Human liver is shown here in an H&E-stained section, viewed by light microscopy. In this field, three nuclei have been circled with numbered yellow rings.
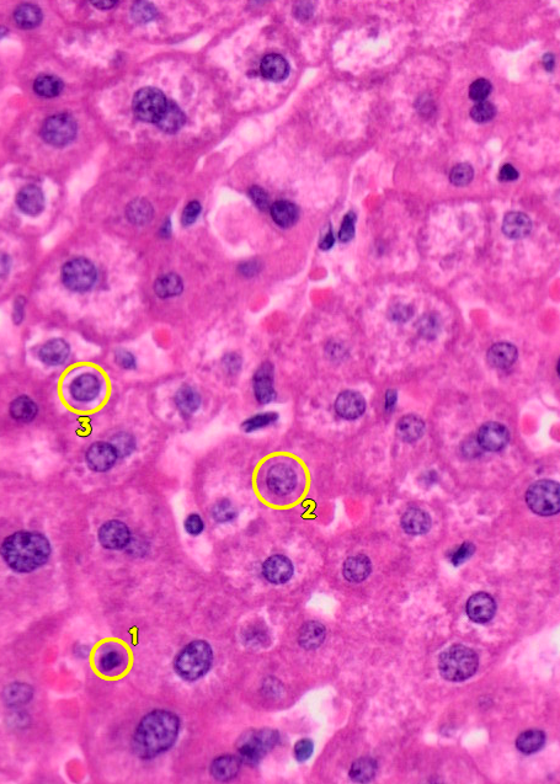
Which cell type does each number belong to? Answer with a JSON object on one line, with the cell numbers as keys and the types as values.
{"1": "fibroblast or stellate cell", "2": "hepatocyte", "3": "hepatocyte"}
